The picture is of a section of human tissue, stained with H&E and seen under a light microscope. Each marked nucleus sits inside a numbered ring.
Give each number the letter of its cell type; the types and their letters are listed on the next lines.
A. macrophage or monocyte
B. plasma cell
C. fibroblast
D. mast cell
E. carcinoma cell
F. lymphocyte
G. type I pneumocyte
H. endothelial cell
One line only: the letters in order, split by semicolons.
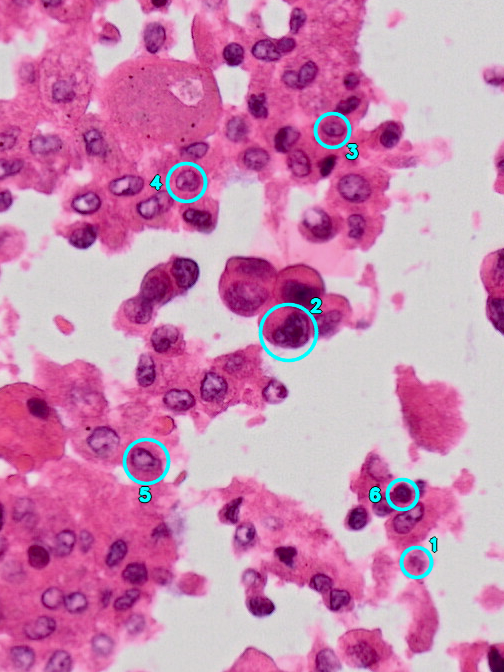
A; E; A; A; A; F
